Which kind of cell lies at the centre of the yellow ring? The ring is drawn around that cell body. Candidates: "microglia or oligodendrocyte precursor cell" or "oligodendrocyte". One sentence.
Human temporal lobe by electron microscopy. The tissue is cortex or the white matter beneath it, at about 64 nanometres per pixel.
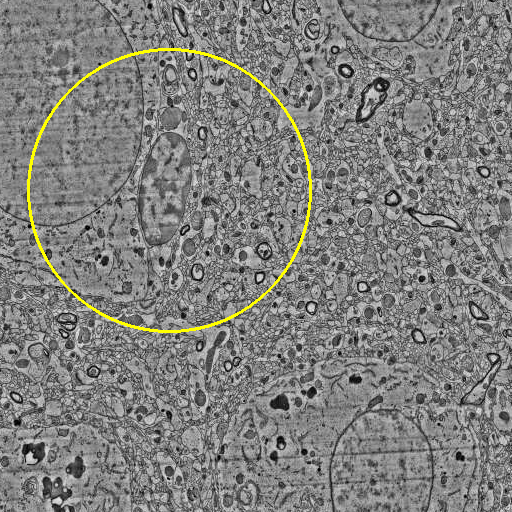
Lying at the centre of the ring is a microglial cell or oligodendrocyte precursor cell.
